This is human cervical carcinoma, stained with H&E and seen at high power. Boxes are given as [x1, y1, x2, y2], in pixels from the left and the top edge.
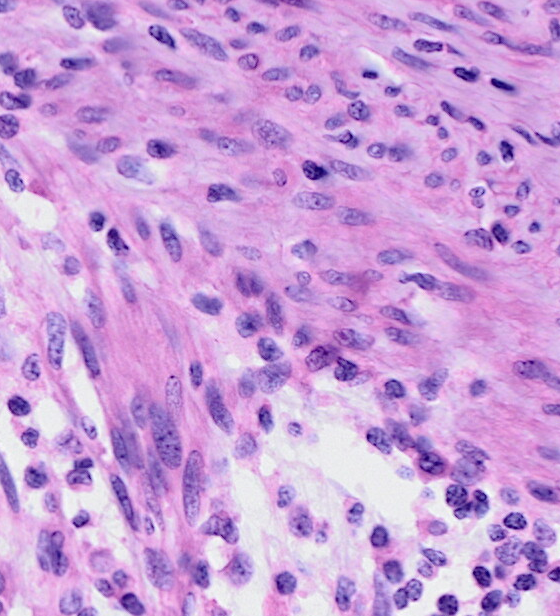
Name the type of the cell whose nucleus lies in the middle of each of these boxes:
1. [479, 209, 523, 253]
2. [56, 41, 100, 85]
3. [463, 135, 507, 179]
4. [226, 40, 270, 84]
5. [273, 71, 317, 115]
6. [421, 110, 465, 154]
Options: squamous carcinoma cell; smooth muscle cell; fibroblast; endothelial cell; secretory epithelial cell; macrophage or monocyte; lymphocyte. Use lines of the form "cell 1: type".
cell 1: lymphocyte
cell 2: lymphocyte
cell 3: smooth muscle cell
cell 4: smooth muscle cell
cell 5: smooth muscle cell
cell 6: smooth muscle cell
